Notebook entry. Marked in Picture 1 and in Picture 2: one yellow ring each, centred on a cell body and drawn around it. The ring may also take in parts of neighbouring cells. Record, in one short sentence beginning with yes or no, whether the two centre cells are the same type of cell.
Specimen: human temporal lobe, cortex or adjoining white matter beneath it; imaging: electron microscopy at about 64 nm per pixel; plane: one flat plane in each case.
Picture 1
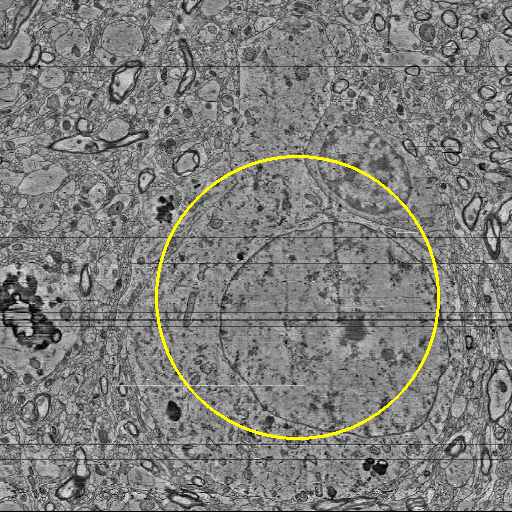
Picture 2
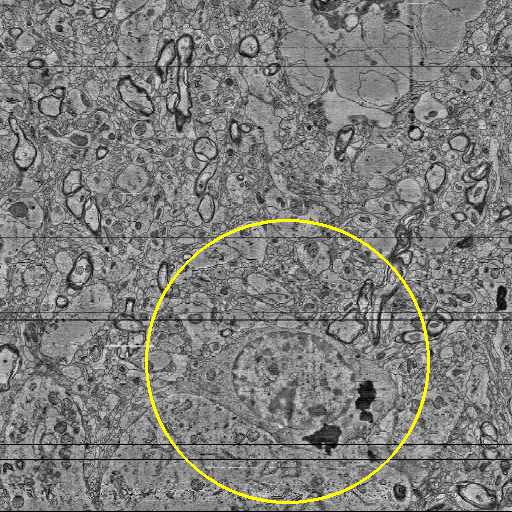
No, they are two types of cell.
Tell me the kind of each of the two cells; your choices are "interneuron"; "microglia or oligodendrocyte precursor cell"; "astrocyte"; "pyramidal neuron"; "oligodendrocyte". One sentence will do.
The ringed cell is a pyramidal neuron in the first picture and an oligodendrocyte in the second picture.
